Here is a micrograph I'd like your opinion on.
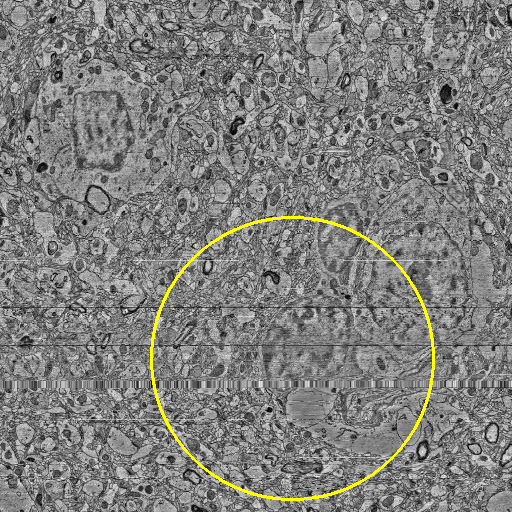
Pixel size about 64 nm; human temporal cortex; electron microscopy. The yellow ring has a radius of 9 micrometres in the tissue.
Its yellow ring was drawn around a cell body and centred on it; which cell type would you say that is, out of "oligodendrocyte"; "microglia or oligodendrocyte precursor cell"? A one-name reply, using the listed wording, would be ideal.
oligodendrocyte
